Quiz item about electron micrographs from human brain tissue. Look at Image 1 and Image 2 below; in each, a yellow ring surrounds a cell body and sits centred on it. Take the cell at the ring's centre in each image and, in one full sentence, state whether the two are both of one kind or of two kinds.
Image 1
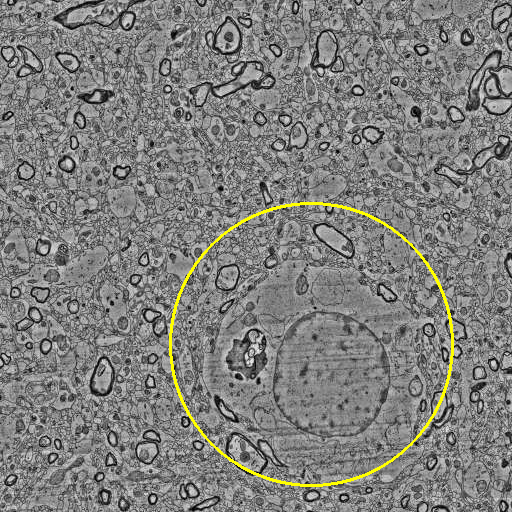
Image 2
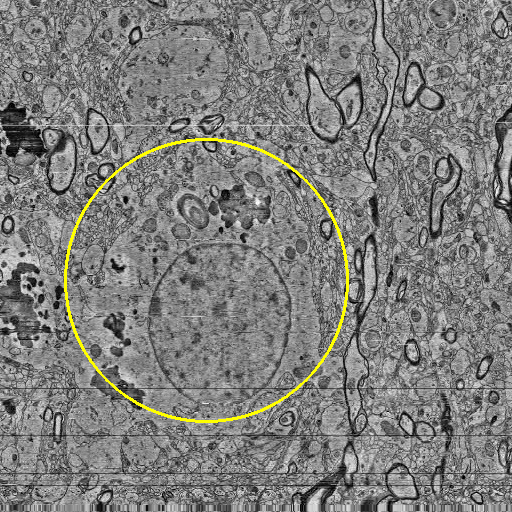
In Image 1 and Image 2, the cells at the ring centres are both of one kind.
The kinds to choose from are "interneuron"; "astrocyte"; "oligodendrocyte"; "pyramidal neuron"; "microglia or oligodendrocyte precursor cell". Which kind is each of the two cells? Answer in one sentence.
Each of the two rings surrounds an astrocyte.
